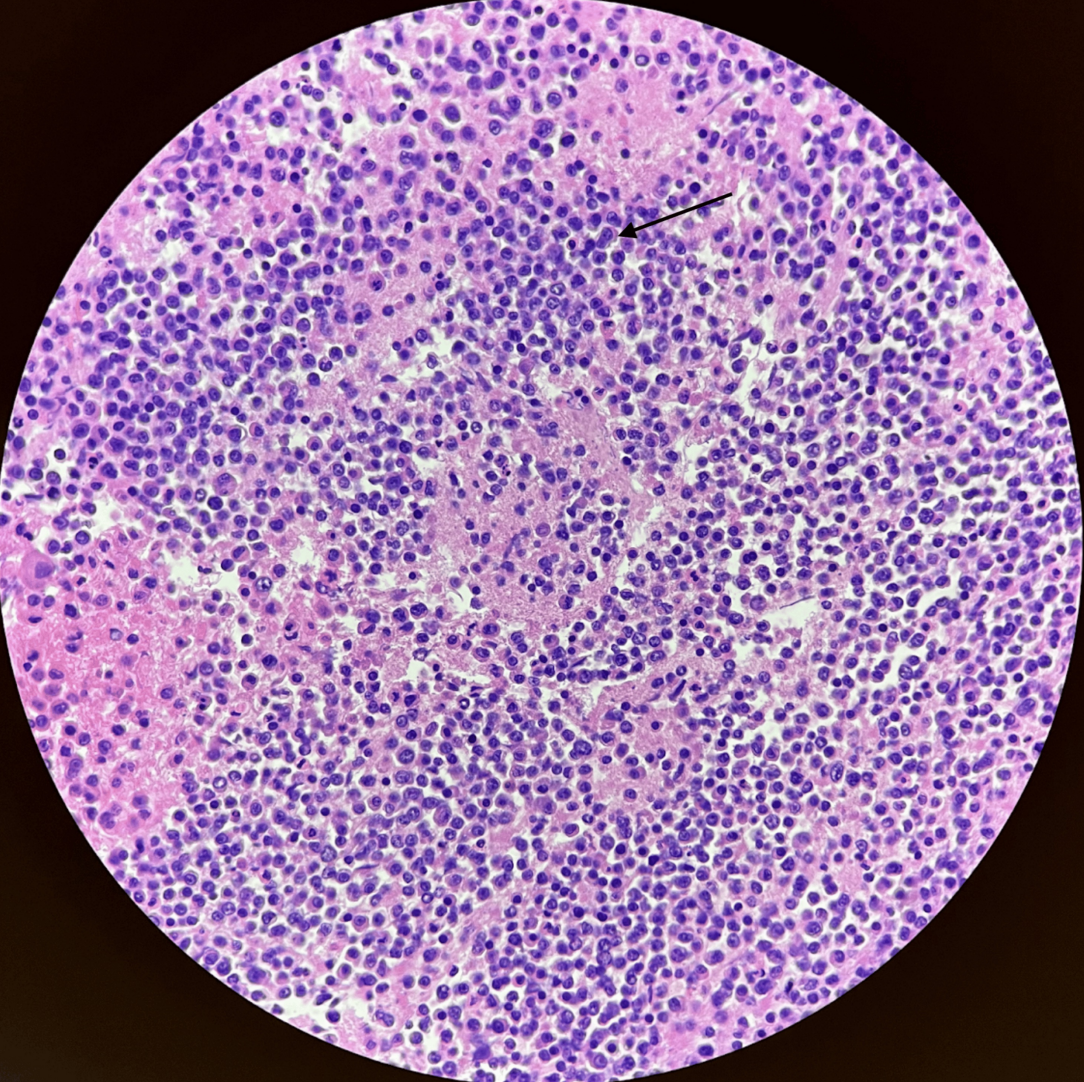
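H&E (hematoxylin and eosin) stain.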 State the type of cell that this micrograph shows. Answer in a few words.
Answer: plasma cells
